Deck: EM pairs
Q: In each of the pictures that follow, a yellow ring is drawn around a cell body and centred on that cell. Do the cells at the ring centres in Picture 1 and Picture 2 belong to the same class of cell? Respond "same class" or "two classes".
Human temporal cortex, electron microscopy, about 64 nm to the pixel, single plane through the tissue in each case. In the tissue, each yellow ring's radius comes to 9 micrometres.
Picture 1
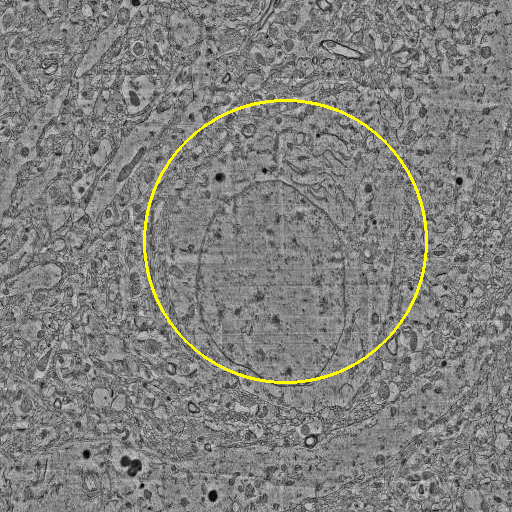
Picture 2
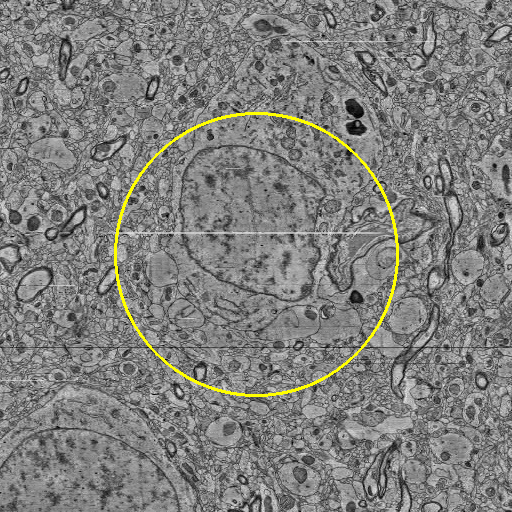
same class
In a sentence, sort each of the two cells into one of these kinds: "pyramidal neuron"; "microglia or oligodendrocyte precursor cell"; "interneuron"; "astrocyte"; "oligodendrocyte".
In the first picture and in the second, the ring is centred on a pyramidal neuron.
